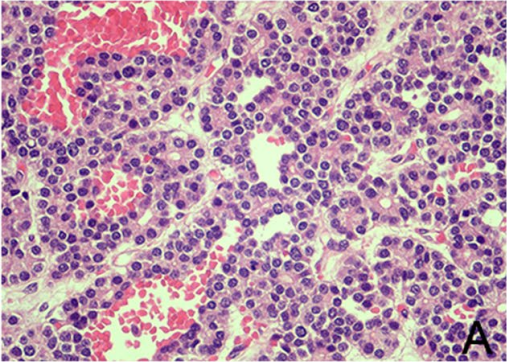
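This tumor is made of uniform epithelial cells grouped into small acini around tiny central lumens. The cells have round, fairly regular nuclei with visible chromatin and a moderate amount of pink, finely granular cytoplasm. Delicate stroma with blood-filled vascular spaces separates the cell groups.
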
